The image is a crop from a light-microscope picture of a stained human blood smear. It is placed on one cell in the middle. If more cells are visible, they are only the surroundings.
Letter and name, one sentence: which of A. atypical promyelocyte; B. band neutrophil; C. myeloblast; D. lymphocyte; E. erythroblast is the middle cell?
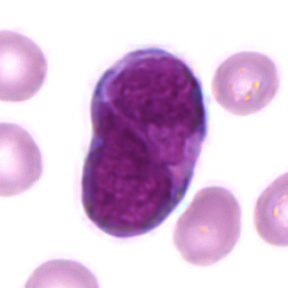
The correct identification, given in option A, is that the central cell is an atypical promyelocyte.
